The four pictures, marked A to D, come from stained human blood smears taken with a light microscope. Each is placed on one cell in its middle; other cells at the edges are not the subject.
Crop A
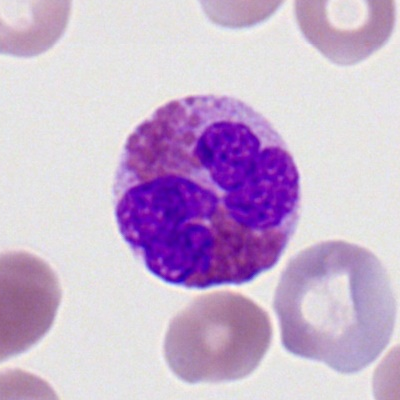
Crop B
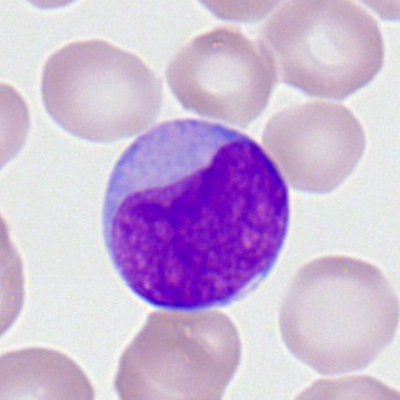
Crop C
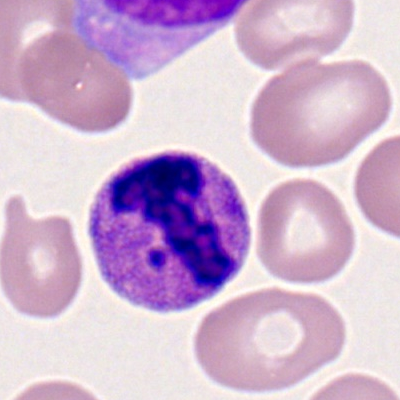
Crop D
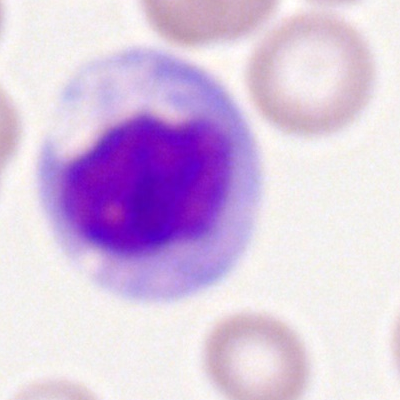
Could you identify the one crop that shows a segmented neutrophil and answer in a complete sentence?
The one crop in the set with a segmented neutrophil is crop C.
